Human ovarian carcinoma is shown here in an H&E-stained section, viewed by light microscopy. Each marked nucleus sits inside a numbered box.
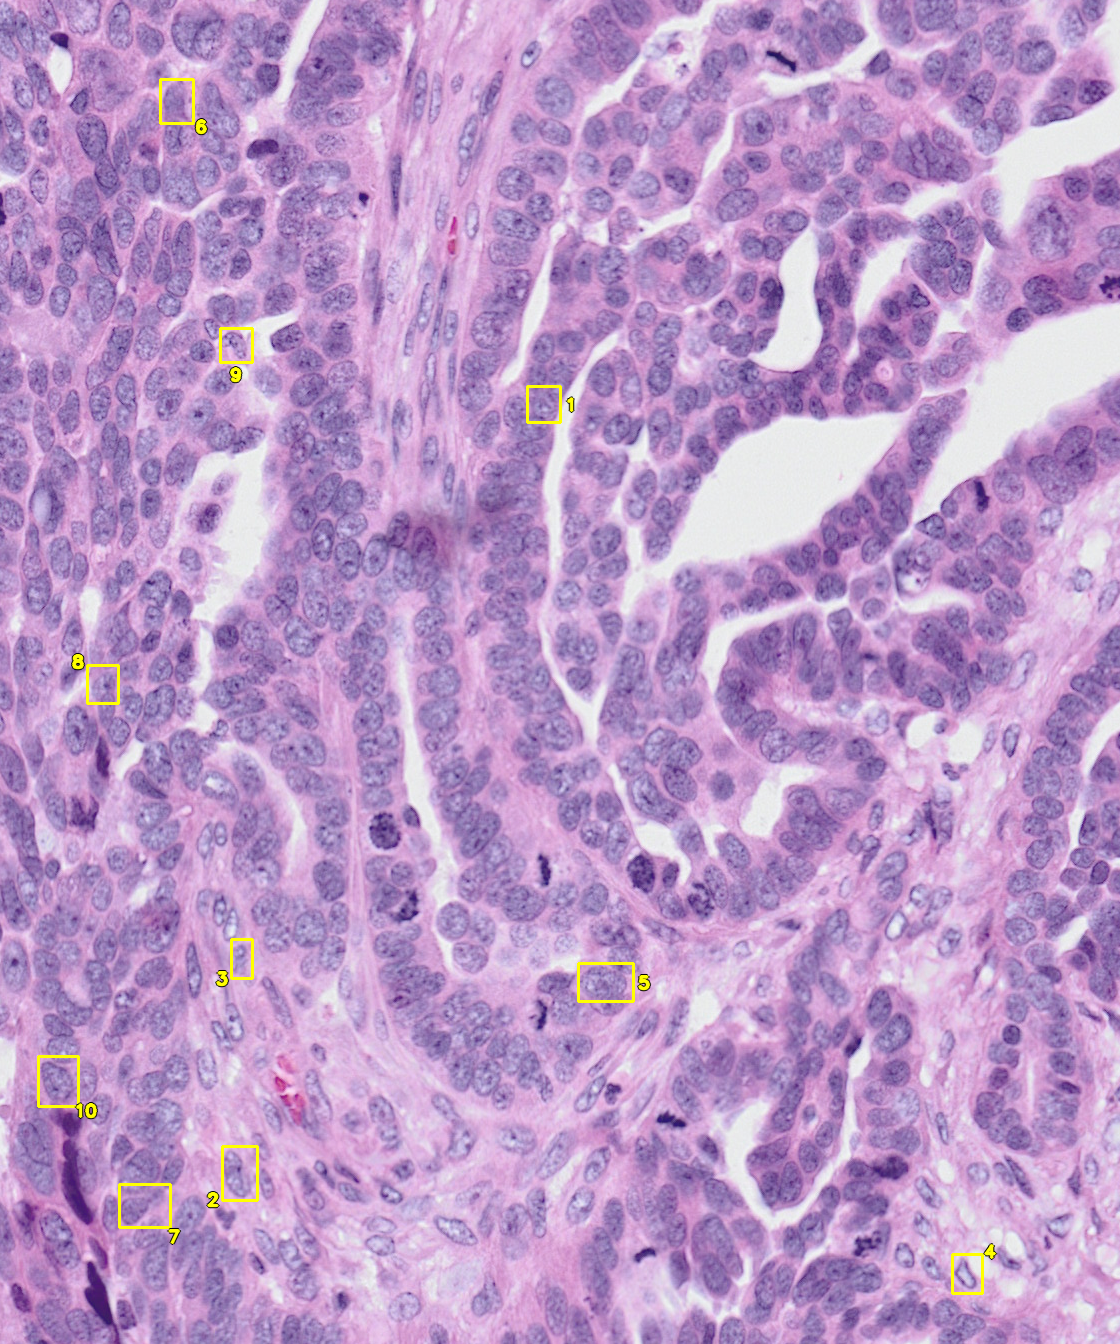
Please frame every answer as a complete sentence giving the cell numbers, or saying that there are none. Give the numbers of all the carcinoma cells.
The cells marked 1, 5, 6, 7, 8 and 10 in the section are carcinoma cells.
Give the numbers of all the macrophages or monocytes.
The only cell among those numbered to be a macrophage or monocyte is number 9.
